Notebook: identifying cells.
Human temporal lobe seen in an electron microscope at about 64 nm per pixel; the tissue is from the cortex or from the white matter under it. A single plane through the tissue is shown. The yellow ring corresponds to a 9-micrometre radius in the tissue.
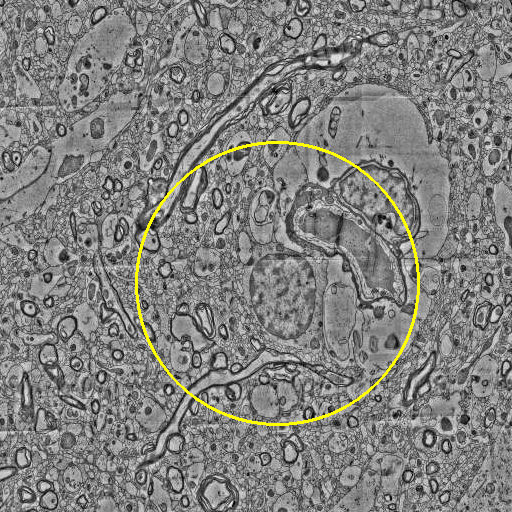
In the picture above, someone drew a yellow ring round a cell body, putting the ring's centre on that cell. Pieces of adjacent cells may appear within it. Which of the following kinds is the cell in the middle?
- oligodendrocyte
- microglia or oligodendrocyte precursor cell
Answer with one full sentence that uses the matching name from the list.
In this picture, the yellow ring is centred on the body of an oligodendrocyte.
